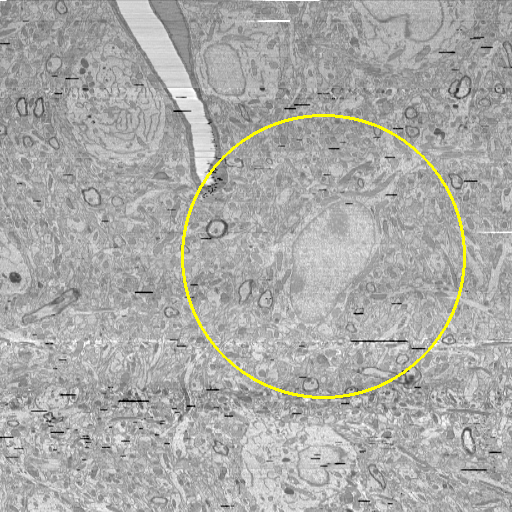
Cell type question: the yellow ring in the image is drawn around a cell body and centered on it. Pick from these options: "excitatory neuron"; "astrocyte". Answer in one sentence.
The ringed cell at the center is an astrocyte.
